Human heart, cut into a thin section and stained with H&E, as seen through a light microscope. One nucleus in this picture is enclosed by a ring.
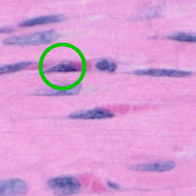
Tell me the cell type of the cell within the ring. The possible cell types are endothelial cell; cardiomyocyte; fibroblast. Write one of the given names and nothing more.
endothelial cell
